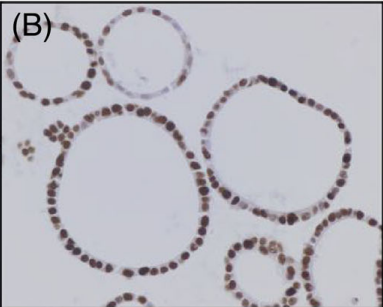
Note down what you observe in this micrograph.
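Almost every nucleus in the wall is stained dark brown, while the thin cytoplasm stays pale. A small solid cluster of brown-stained cells lies beside the larger cysts.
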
